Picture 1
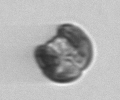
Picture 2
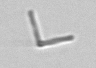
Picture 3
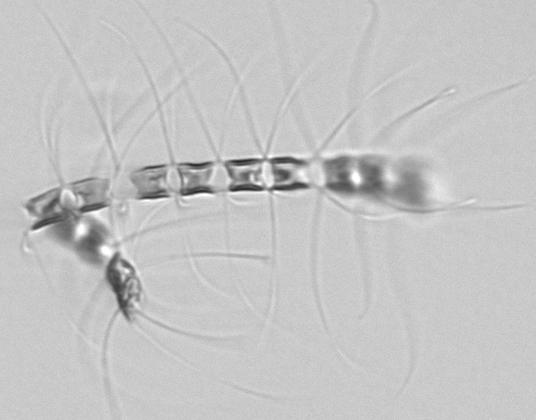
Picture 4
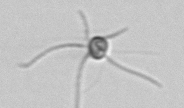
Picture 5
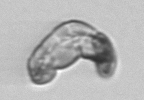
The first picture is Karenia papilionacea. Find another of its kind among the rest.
Picture 5.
